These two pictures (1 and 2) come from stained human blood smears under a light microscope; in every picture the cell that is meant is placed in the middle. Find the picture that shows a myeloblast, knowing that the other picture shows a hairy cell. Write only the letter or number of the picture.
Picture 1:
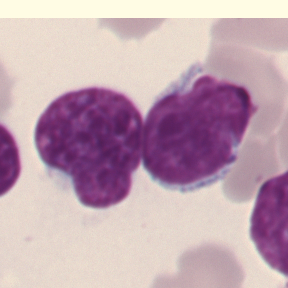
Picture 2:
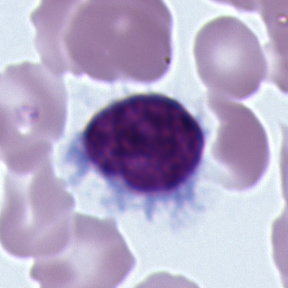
1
